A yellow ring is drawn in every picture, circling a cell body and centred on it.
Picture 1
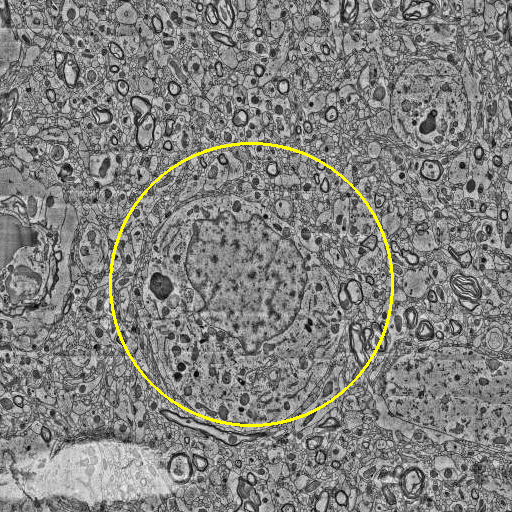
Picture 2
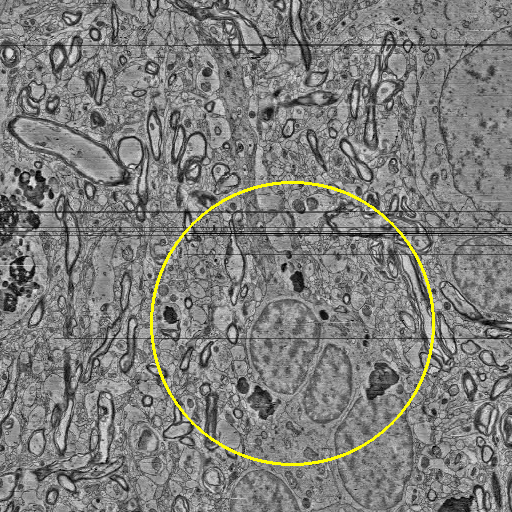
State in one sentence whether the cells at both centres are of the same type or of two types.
The cells at the two ring centres, one per picture, are of two types.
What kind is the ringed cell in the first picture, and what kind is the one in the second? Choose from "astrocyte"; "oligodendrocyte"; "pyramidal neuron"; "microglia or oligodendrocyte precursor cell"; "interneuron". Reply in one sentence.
The first cell is an interneuron; the second is an oligodendrocyte.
